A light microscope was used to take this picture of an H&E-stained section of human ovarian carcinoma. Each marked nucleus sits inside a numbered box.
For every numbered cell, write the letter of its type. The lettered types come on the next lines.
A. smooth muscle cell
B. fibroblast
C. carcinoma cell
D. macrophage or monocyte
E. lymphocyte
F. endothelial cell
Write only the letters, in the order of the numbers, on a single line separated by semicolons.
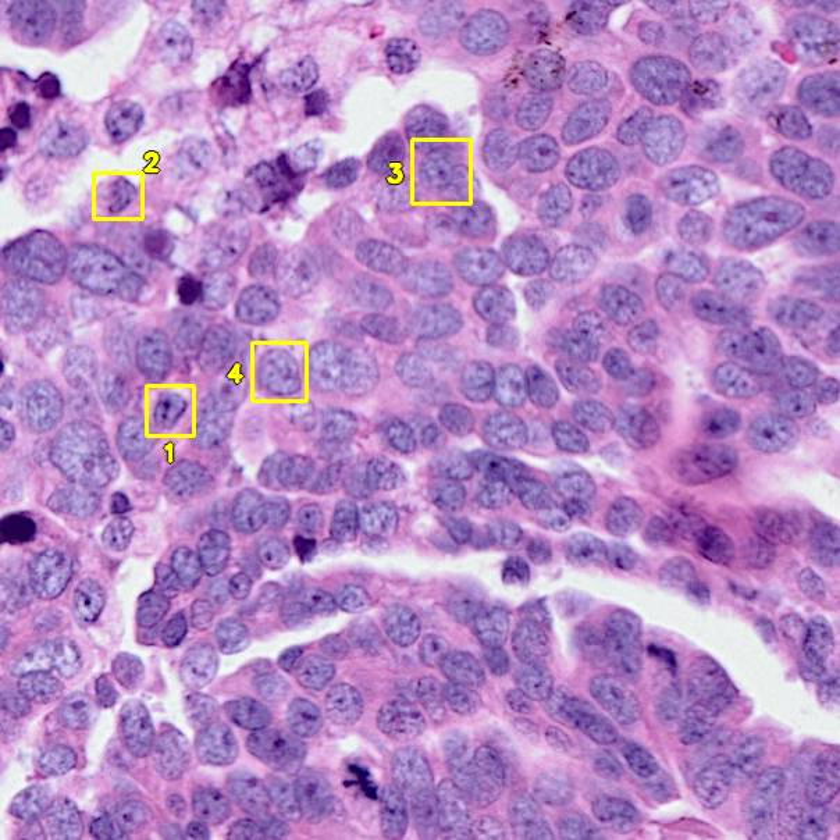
D; D; C; C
